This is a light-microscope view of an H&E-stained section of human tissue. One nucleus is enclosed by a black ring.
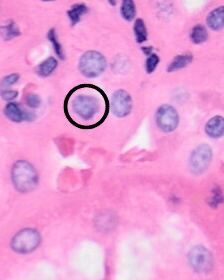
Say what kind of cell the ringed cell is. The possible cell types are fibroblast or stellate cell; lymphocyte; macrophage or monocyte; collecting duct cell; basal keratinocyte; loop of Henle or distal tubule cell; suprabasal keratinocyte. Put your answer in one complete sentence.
For cell typing purposes, the ringed cell is a loop of Henle or distal tubule cell.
